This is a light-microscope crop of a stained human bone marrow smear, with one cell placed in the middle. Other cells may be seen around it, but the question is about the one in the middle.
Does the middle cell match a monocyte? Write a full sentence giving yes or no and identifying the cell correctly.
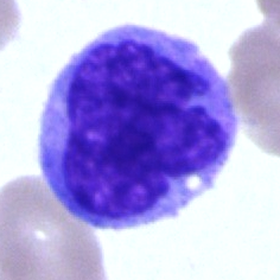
Yes, the cell shown in the middle is a monocyte.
